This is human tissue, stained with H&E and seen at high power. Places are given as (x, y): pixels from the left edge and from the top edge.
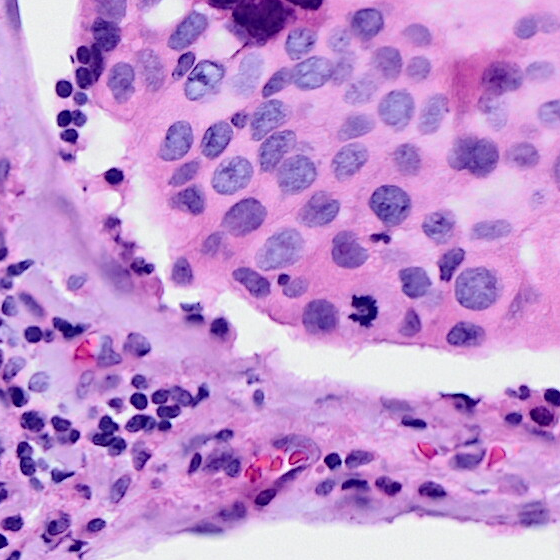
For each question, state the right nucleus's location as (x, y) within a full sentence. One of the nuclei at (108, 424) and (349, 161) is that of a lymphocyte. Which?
Identified as belonging to a lymphocyte is the nucleus at (108, 424).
